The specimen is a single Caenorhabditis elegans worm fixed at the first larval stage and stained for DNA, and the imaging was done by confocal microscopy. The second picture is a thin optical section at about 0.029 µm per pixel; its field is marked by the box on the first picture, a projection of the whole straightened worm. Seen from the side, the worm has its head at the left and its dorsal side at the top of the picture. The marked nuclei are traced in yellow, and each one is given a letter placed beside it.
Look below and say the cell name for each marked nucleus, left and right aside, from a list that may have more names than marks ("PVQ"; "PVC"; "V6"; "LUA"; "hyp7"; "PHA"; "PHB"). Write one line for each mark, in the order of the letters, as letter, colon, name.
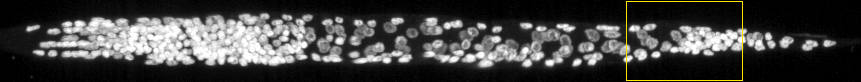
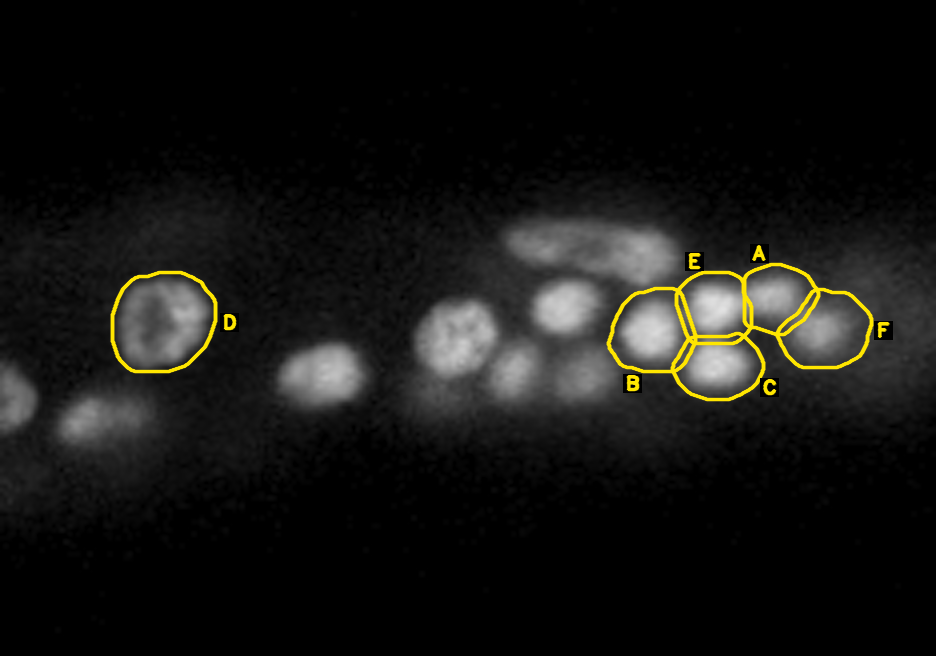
A: LUA
B: PVQ
C: PHA
D: V6
E: PHB
F: PVC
